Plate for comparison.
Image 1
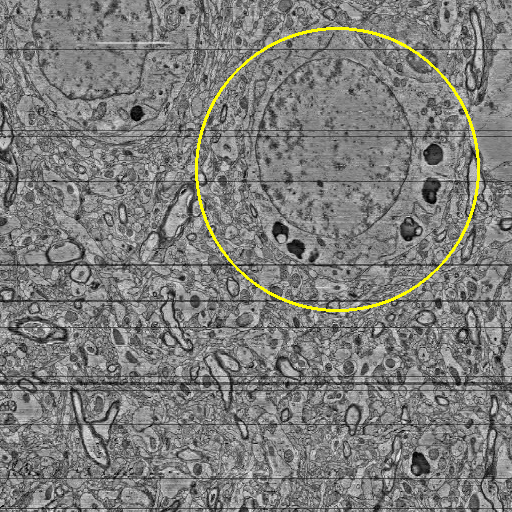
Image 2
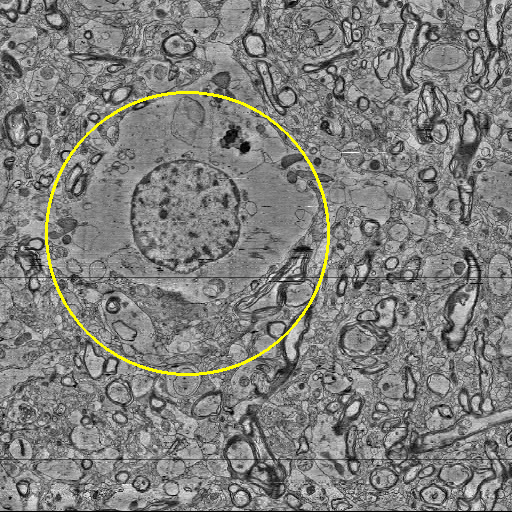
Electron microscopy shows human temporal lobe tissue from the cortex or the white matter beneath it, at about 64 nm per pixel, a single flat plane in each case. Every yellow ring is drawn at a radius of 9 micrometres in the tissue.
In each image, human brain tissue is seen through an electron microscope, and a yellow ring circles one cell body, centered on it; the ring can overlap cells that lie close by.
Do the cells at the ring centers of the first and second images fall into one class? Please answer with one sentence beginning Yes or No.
No, the first and second images show two classes of cell at the ring centers.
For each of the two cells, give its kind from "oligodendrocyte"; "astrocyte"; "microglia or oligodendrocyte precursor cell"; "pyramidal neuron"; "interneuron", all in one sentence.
The first picture has a pyramidal neuron in its ring, the second has an astrocyte.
